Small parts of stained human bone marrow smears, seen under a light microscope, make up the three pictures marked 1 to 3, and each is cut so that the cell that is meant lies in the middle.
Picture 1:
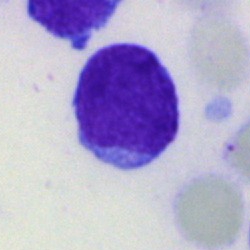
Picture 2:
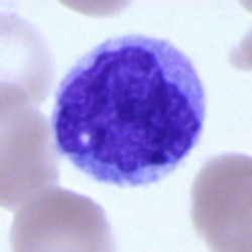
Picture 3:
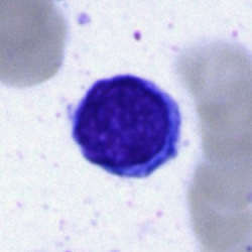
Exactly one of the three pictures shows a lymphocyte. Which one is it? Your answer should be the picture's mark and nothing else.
3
